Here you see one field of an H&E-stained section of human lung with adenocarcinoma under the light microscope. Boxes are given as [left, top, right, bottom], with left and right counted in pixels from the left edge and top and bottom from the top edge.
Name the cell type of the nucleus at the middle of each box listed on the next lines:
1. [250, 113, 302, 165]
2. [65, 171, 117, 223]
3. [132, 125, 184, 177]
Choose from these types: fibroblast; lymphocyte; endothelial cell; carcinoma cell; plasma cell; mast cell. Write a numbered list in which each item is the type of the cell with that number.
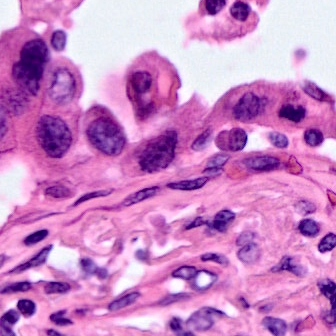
1. lymphocyte
2. fibroblast
3. carcinoma cell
